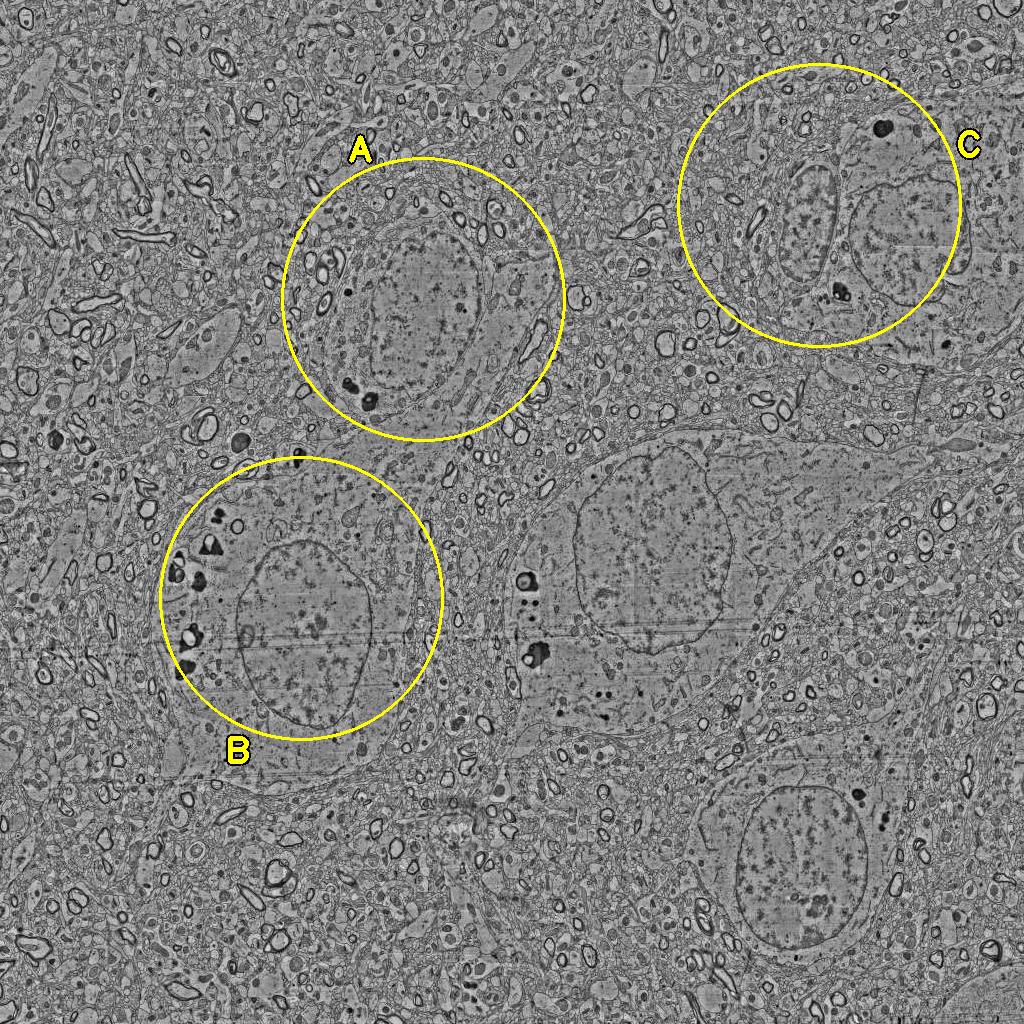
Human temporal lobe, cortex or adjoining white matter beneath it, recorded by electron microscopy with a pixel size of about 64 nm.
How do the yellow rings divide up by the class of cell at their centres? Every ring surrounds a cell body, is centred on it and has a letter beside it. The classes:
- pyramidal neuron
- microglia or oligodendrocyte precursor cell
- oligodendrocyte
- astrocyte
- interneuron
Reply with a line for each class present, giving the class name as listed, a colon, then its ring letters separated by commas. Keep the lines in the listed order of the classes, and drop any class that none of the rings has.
pyramidal neuron: B
oligodendrocyte: C
interneuron: A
